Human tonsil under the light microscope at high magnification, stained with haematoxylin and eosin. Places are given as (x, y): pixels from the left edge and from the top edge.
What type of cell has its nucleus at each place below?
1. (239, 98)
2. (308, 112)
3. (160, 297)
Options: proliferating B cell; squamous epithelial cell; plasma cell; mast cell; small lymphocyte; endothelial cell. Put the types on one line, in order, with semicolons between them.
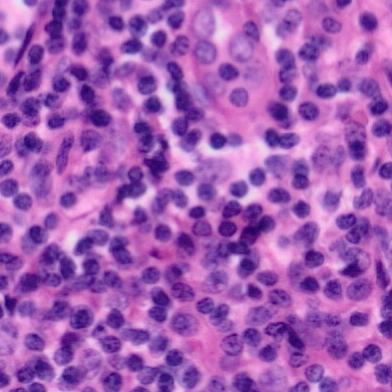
endothelial cell; plasma cell; small lymphocyte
